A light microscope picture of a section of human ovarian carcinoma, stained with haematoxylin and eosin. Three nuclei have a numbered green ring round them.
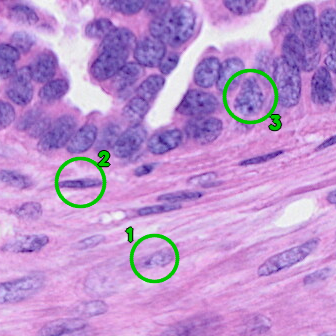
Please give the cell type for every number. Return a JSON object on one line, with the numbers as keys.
{"1": "fibroblast", "2": "fibroblast", "3": "carcinoma cell"}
